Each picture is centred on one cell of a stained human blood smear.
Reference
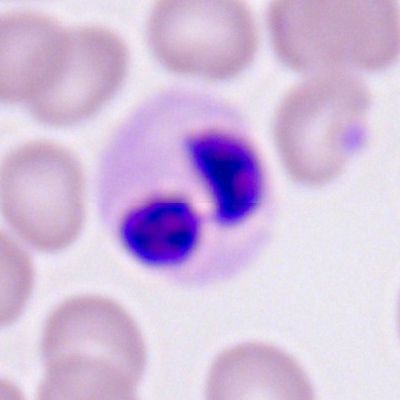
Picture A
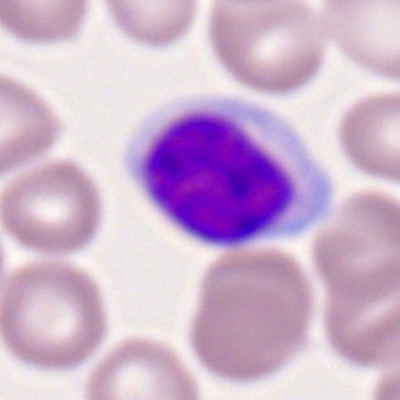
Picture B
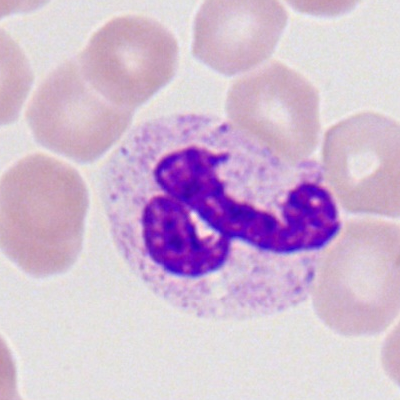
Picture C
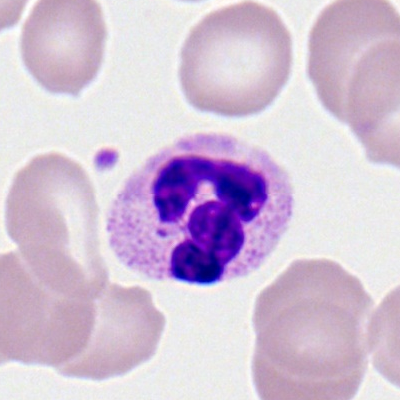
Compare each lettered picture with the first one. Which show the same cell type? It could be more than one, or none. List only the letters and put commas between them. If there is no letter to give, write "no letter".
B, C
